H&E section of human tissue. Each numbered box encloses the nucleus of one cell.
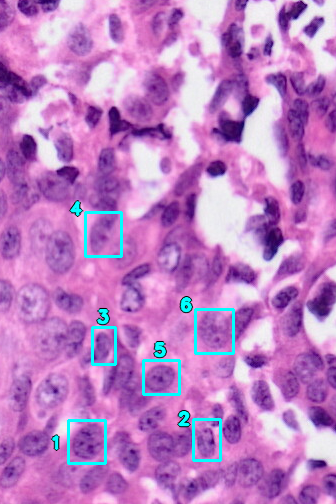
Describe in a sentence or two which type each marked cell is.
Cells 1, 4, 5 and 6 are carcinoma cells. Cells 2 and 3 are macrophages or monocytes.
